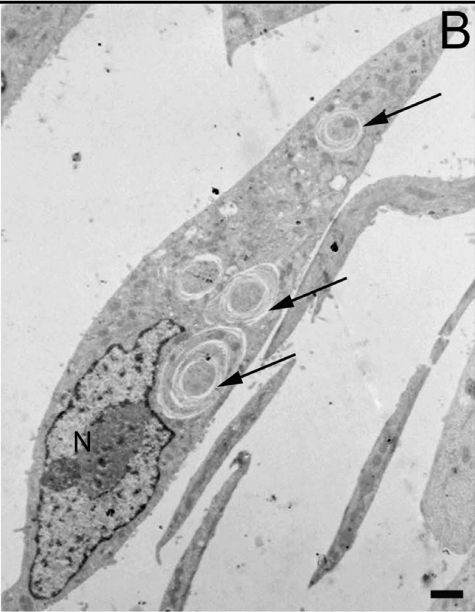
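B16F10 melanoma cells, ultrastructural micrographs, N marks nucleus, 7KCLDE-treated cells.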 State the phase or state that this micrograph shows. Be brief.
Fibroblastoid morphotype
